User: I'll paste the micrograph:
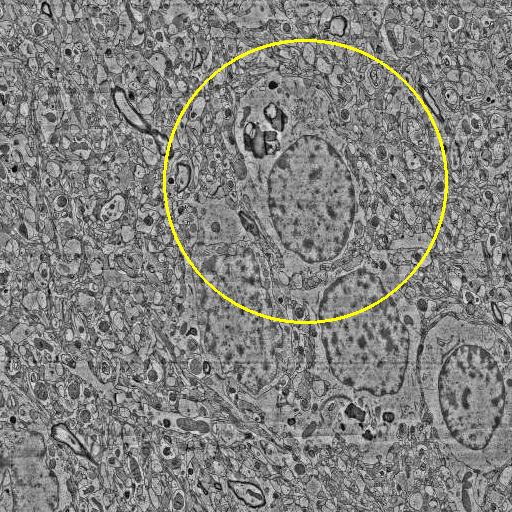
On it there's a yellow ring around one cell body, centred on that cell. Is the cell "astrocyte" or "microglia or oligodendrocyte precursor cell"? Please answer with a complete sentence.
The cell ringed in yellow is an astrocyte.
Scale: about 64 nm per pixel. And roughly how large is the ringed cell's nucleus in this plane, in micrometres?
In this plane, approximately 8 by 5 micrometers.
